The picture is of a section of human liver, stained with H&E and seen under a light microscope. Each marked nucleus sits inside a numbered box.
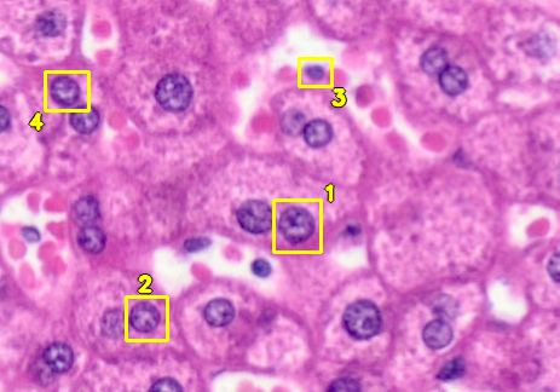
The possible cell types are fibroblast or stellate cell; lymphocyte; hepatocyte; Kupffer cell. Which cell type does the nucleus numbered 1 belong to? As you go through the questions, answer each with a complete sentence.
Cell 1 of the marked set is a hepatocyte.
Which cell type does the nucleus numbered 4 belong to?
The cell indicated with the number 4 is classed as a hepatocyte.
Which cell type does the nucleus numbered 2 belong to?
As for number 2, that cell is a hepatocyte.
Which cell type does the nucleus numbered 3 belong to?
Heads up, the cell numbered 3 is a lymphocyte.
